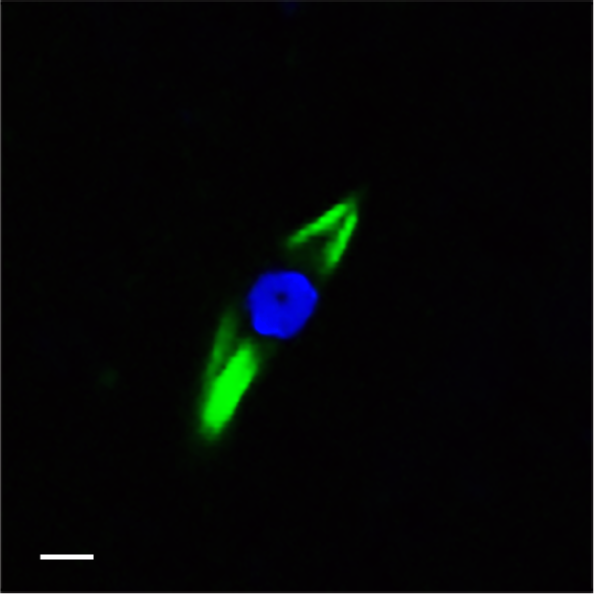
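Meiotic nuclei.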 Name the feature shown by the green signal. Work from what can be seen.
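Green fibres converge into two pointed ends on either side of the blue chromatin. The blue chromatin mass lies in the middle of the green spindle-shaped structure. On this evidence: bipolar spindle apparatus.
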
